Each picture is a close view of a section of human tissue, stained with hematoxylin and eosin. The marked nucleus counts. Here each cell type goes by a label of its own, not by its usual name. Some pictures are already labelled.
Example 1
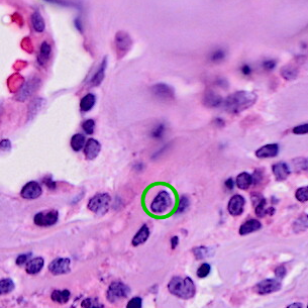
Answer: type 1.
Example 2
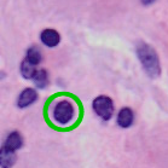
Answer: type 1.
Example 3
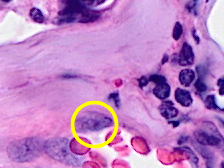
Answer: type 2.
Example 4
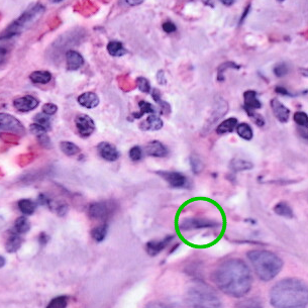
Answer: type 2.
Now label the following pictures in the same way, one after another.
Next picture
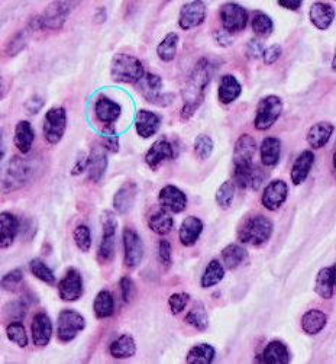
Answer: type 1.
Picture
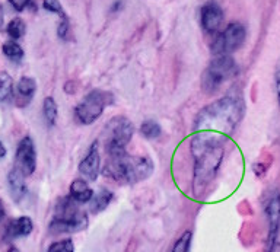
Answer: type 2.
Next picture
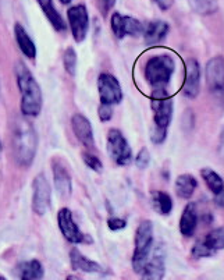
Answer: type 1.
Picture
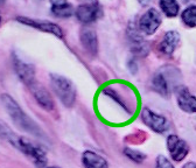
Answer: type 2.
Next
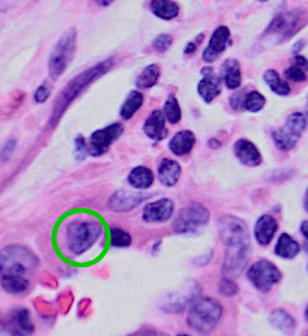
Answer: type 2.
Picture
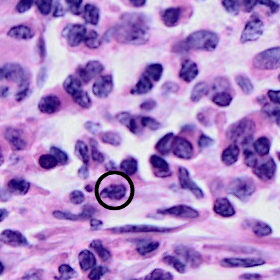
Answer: type 1.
